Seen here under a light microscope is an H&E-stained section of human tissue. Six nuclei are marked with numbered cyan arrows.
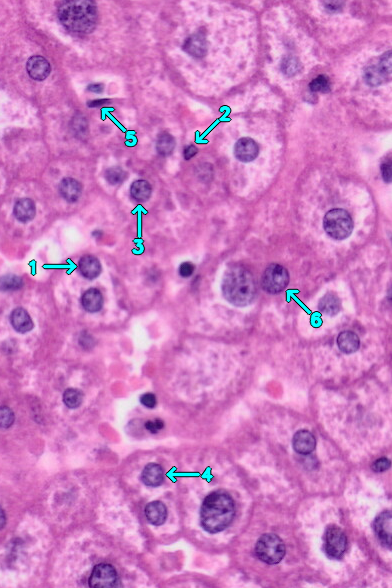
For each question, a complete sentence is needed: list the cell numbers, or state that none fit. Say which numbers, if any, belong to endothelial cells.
Cell 5 is the only numbered cell that is an endothelial cell.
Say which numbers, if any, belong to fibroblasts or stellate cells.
Cell 2 is a fibroblast or stellate cell; every other numbered cell is something else.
